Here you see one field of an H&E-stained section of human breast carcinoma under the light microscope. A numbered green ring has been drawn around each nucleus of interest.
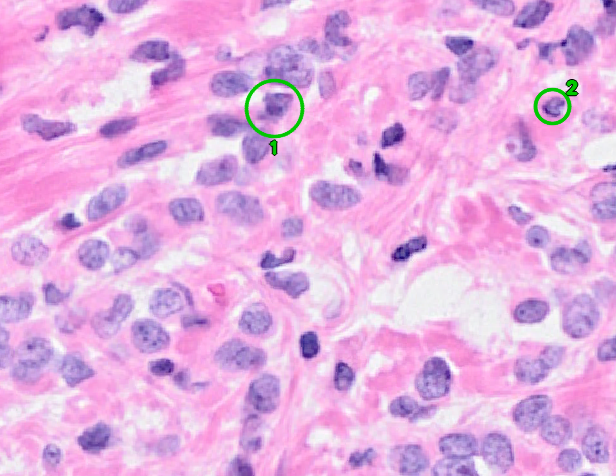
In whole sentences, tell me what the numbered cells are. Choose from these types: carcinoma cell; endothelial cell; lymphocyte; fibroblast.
Cell 1 is a carcinoma cell and cell 2 is an endothelial cell.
